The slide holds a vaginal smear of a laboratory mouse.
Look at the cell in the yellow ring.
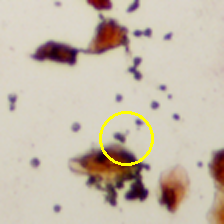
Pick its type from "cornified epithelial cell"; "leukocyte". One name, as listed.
leukocyte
